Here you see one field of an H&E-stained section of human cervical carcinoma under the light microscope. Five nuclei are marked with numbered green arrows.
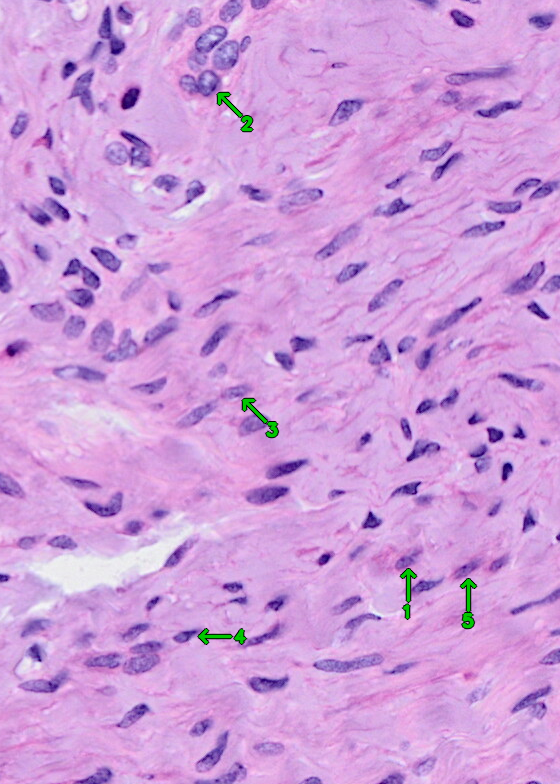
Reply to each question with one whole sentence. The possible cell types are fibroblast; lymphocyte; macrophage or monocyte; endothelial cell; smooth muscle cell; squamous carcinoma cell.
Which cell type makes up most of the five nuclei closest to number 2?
The majority of the five nuclei closest to number 2 belong to endothelial cells.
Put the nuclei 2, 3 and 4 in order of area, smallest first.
By area, going up from the smallest, they rank 4, 3, 2.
